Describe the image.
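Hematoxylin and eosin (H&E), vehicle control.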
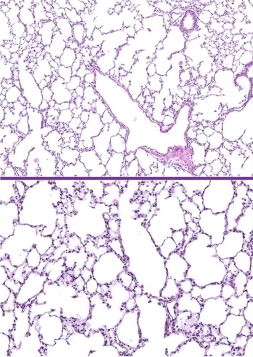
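The walls carry scattered small dark purple nuclei without crowding. At low power a small airway and a vessel cut across lie among the alveoli, with a little red blood near the vessel. At higher power the walls remain thin, only about one or two cells thick.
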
